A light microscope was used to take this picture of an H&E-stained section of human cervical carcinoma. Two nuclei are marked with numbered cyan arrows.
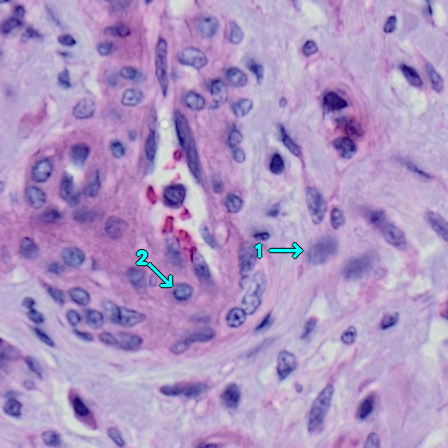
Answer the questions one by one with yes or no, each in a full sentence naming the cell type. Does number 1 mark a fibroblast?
Yes, the cell that bears the number 1 is a fibroblast.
